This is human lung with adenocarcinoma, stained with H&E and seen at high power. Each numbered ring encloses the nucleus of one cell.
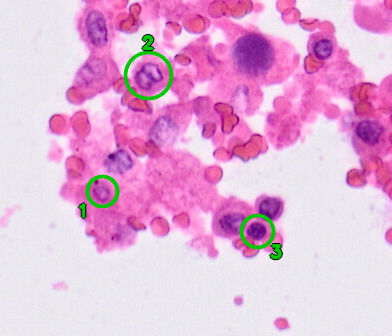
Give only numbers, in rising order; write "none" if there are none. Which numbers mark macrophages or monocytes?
1, 2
